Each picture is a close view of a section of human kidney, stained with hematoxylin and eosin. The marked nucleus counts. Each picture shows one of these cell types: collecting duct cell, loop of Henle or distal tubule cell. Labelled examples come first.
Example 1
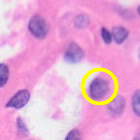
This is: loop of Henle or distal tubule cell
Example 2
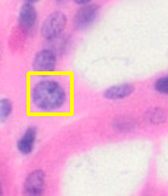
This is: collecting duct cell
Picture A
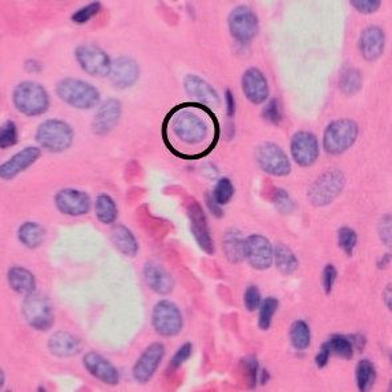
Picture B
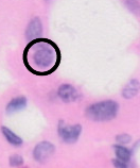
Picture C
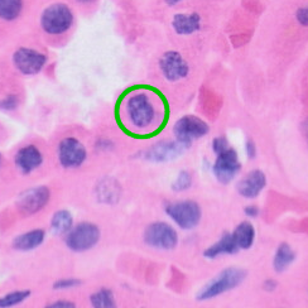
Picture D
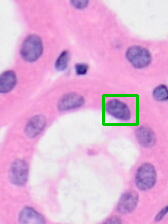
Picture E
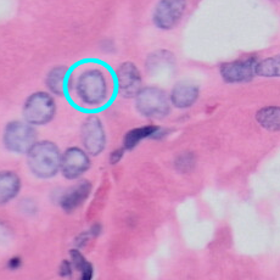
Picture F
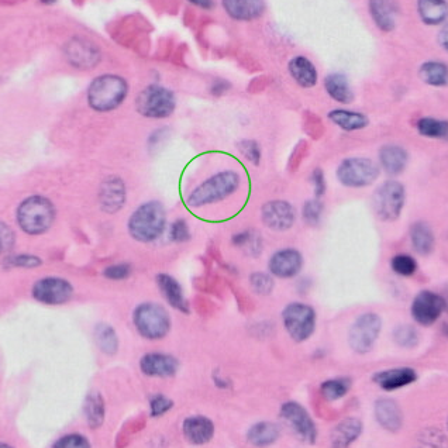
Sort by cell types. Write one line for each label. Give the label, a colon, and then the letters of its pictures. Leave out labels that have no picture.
collecting duct cell: A, B, E, F
loop of Henle or distal tubule cell: C, D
